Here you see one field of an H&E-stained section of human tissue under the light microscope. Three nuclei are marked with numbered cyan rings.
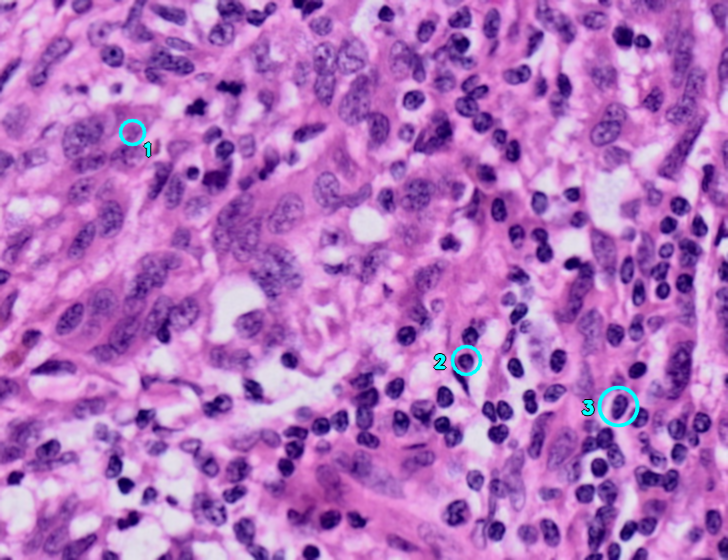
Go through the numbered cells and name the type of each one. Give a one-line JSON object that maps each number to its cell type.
{"1": "melanoma cell", "2": "lymphocyte", "3": "lymphocyte"}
